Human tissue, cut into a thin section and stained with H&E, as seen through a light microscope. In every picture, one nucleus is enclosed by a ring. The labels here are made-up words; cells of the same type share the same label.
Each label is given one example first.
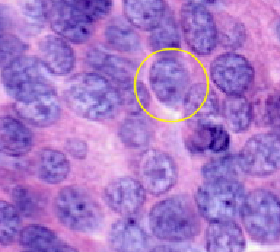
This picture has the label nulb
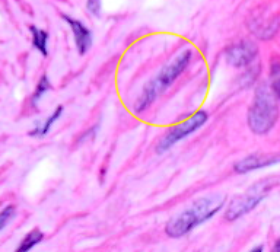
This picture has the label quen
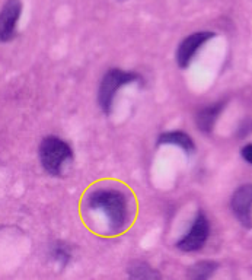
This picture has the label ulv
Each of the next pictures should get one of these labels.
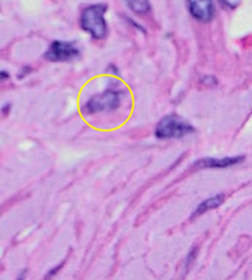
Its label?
quen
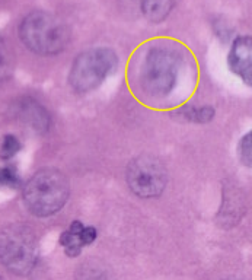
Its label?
ulv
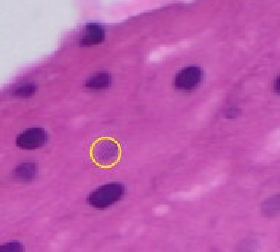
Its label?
ulv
